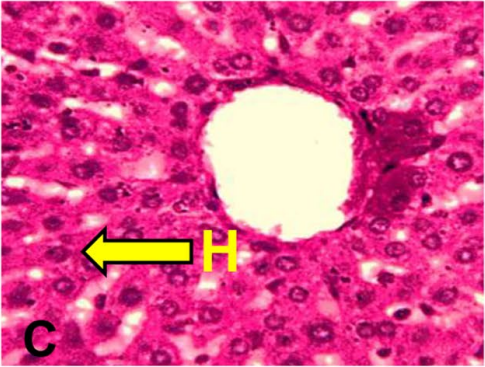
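Liver tissue around a central vein, seen as a large round empty lumen with a thin wall. Hepatocytes surround it in plates radiating outward, separated by pale, slit-like sinusoids. The hepatocytes are polygonal with pink to magenta cytoplasm and round, darker nuclei that are centrally placed and clearly outlined, several showing a visible nucleolus. Near the vein wall a darker magenta patch of denser staining is present. Overall the cytoplasmic staining is fairly strong and uniform, and the orderly radiating arrangement of the cords around the vein is retained.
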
